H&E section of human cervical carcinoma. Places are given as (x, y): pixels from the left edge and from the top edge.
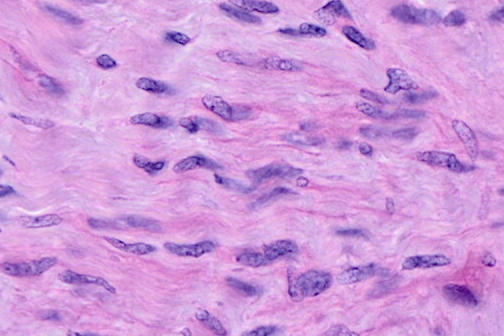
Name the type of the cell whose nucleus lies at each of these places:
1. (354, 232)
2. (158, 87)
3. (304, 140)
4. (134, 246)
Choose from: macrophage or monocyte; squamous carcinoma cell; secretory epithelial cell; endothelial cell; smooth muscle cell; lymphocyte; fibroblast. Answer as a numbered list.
1. fibroblast
2. fibroblast
3. smooth muscle cell
4. smooth muscle cell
